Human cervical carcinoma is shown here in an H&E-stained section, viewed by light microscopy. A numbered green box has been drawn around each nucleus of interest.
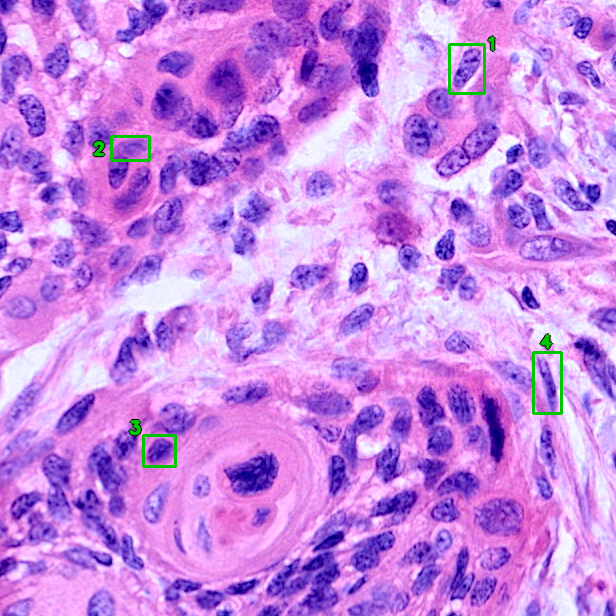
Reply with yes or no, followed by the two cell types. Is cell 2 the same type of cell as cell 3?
Yes, cell 2 is one of the squamous carcinoma cells, and so is cell 3.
